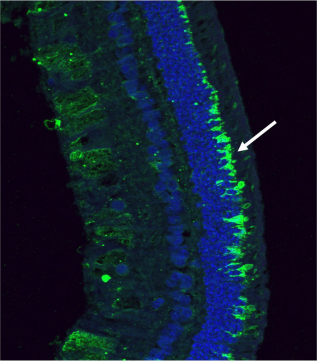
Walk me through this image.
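This is a cross-section of retina showing its layers: a loose inner ganglion cell layer, a thin inner nuclear layer, a thick, densely packed outer nuclear layer of blue nuclei, and an outer striated photoreceptor layer. Bright green streaks and spots are concentrated along the outer part of the outer nuclear layer next to the photoreceptor layer, with fainter green in the inner layers.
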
